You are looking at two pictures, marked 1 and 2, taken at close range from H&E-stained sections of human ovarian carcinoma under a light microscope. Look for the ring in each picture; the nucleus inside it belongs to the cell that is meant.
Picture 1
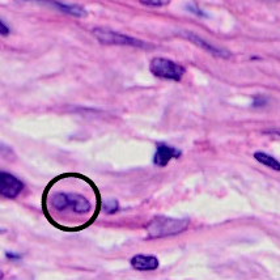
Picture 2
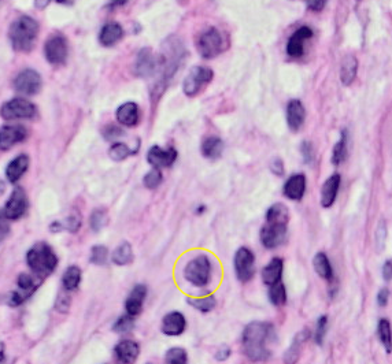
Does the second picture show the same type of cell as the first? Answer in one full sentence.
No, they differ: the cell is a “macrophage or monocyte” in picture 1 and a lymphocyte in picture 2.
